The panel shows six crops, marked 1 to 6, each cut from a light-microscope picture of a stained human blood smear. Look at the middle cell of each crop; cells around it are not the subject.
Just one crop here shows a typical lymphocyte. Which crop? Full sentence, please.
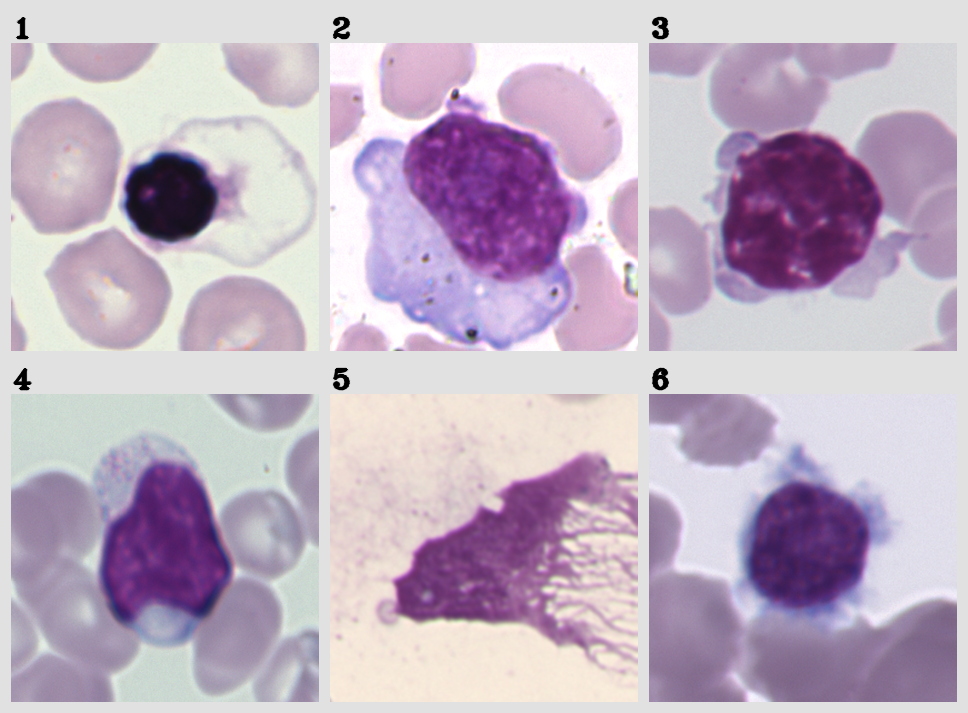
The cell identified as a typical lymphocyte is the one in crop 3.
